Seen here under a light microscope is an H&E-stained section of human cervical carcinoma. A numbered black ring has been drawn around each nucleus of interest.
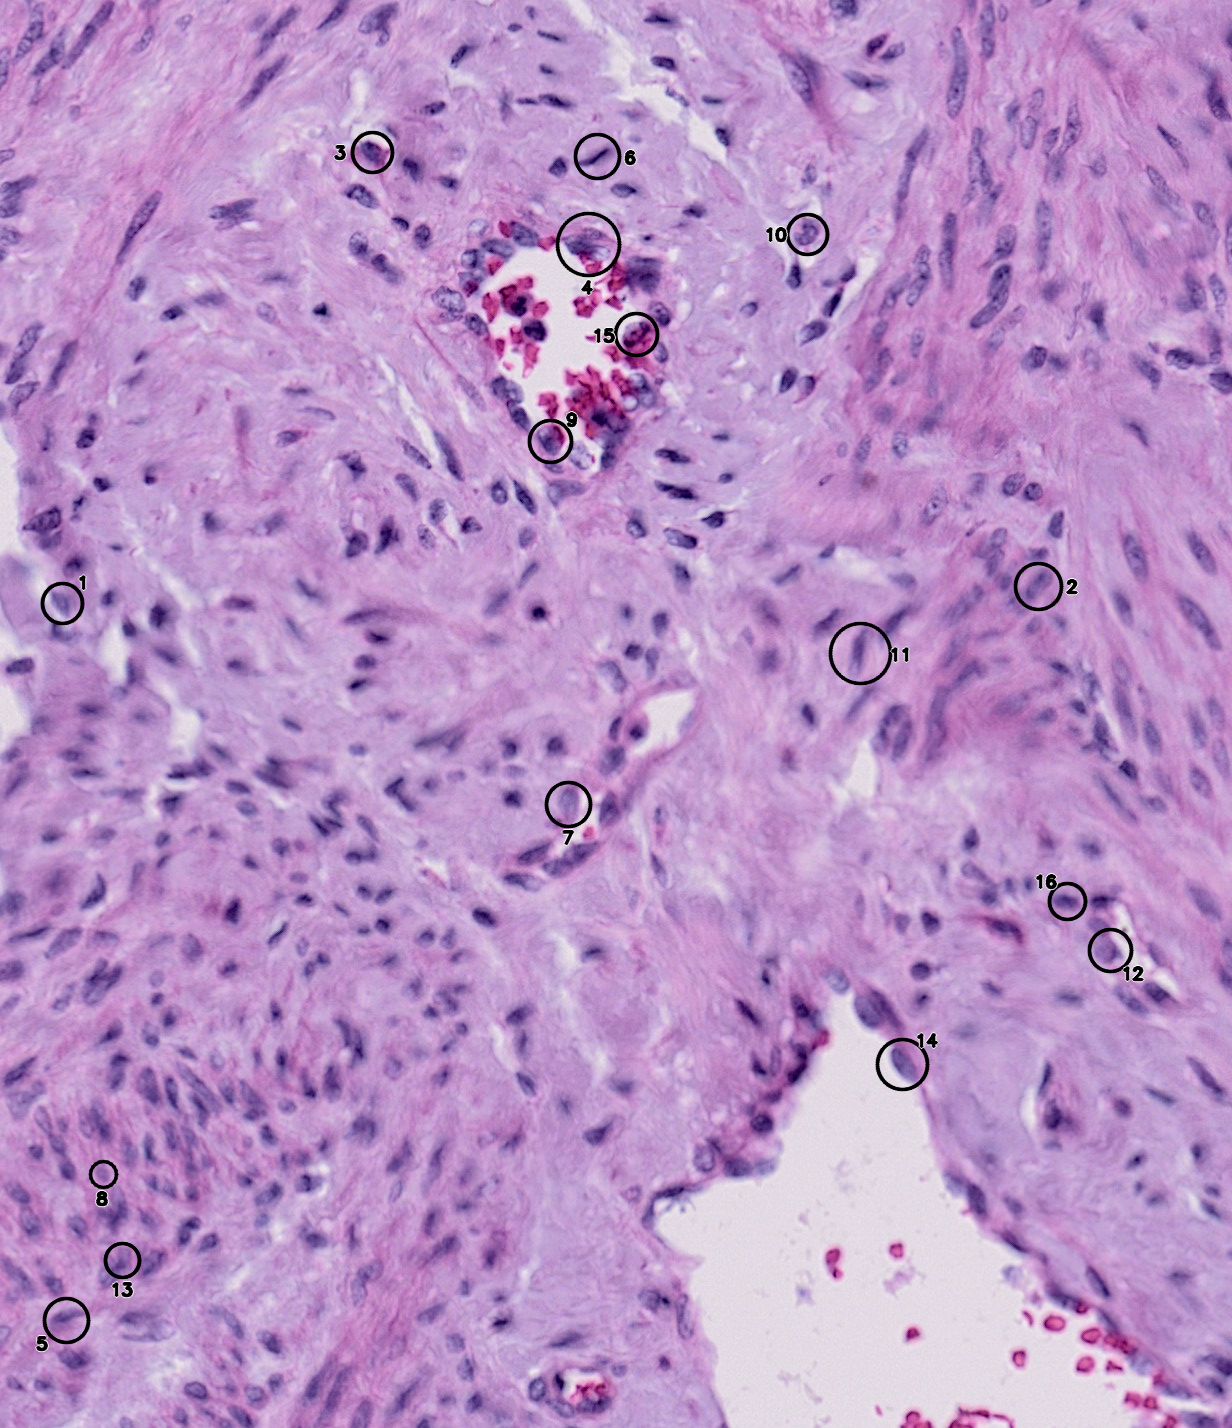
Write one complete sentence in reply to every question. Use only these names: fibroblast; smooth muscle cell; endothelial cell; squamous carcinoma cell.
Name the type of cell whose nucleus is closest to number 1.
The nearest nucleus to number 1 belongs to a fibroblast.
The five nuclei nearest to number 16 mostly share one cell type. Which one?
Around number 16, most of the five nearest nuclei are those of endothelial cells.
